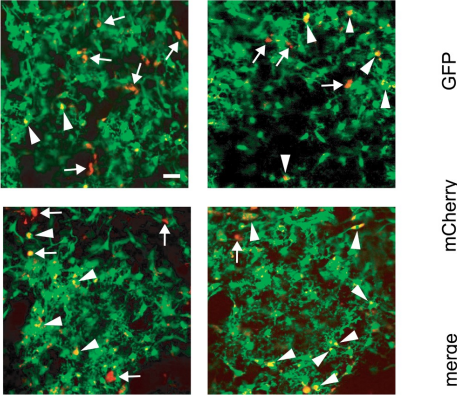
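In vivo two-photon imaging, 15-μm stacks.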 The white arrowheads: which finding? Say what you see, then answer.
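The arrowheads point to yellow spots where red lies within green cells. The arrows point to red bodies lying beside, not within, green cells.
Hence: internalization.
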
